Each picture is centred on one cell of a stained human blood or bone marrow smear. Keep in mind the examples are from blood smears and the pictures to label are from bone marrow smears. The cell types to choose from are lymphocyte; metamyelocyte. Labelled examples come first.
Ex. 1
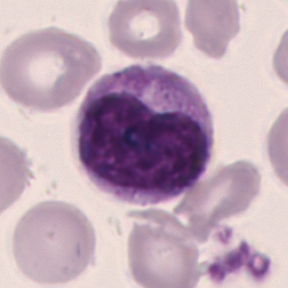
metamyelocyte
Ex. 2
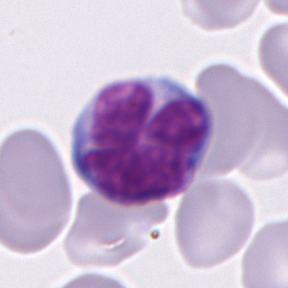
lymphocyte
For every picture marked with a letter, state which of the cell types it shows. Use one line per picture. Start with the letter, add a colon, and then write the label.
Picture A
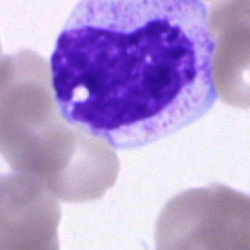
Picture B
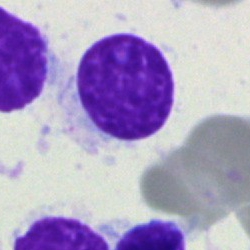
A: metamyelocyte
B: lymphocyte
